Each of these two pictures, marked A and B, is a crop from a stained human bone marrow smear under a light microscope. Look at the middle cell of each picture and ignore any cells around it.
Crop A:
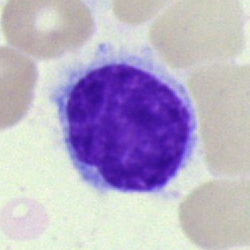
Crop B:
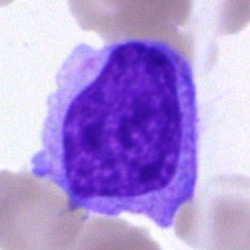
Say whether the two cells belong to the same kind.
no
